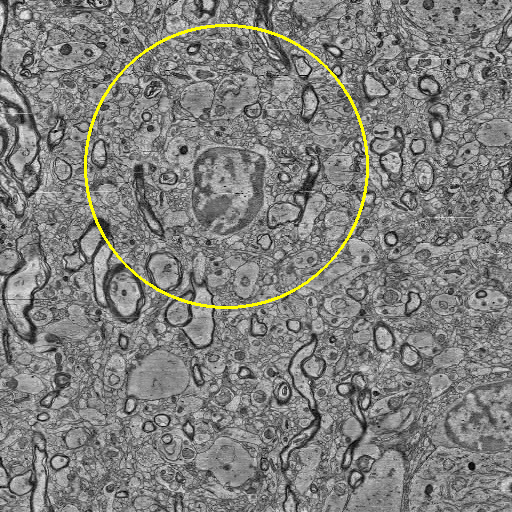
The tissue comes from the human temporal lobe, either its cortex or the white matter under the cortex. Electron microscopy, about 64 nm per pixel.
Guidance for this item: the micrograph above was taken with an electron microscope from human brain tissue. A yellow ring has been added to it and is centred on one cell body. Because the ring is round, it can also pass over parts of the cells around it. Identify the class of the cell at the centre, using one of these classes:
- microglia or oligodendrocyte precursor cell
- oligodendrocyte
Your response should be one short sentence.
The ring surrounds the body of a microglial cell or oligodendrocyte precursor cell.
